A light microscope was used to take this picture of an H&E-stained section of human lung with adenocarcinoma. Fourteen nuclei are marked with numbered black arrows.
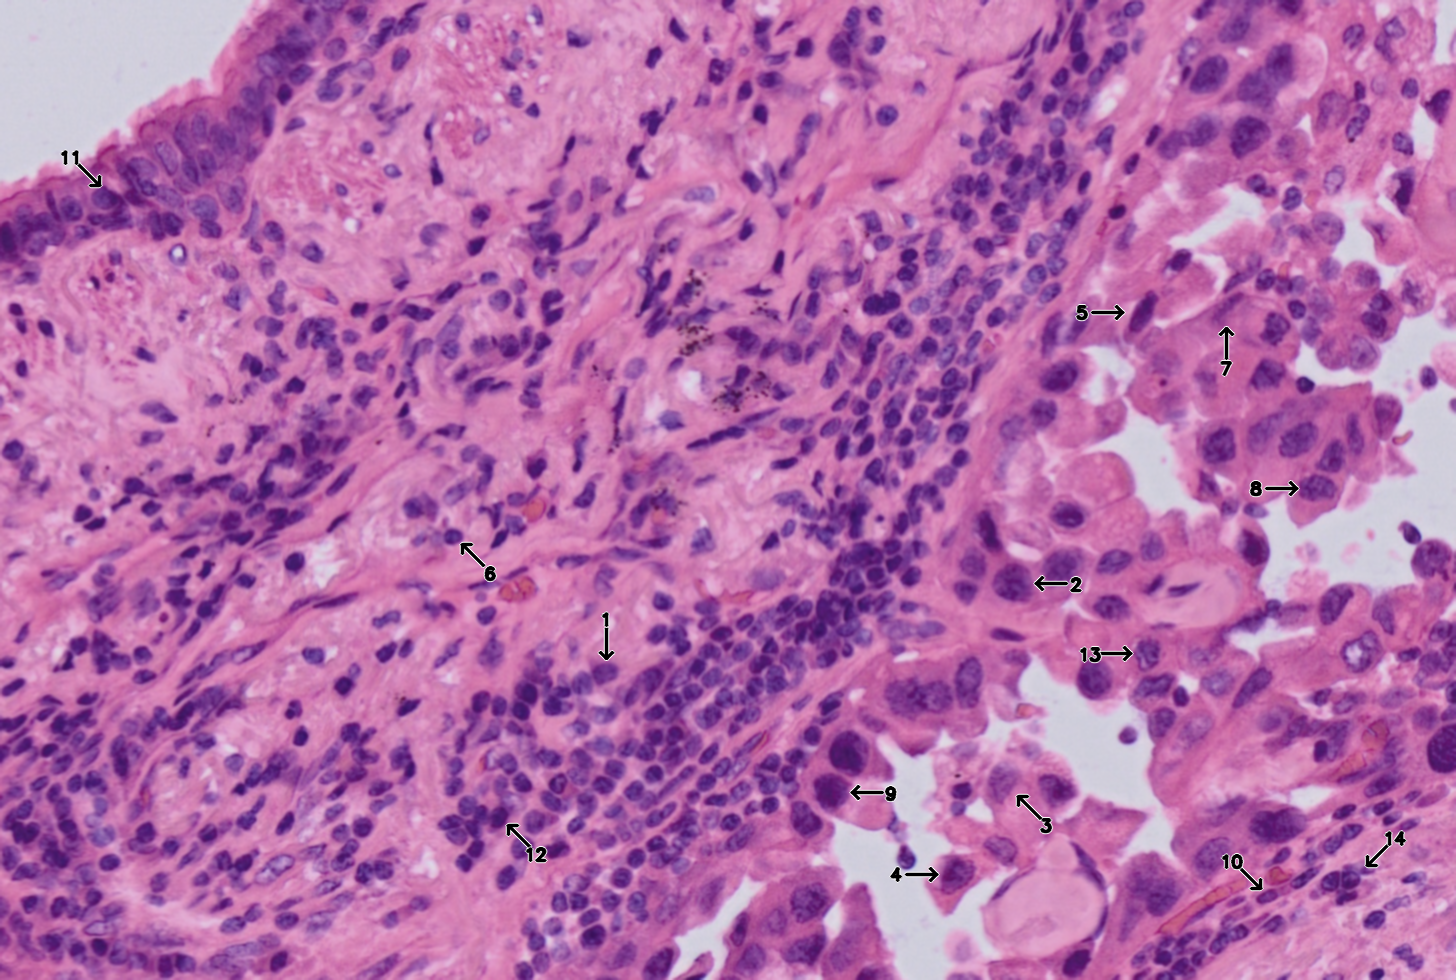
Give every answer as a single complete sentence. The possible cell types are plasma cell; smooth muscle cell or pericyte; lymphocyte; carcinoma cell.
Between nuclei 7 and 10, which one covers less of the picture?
It is nucleus 10; nucleus 7 has about 3 times its area.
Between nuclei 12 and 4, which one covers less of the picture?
With nucleus 4 about 4 times its size, nucleus 12 is the smaller of the two.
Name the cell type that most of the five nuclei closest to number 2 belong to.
Around number 2, most of the five nearest nuclei are those of carcinoma cells.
